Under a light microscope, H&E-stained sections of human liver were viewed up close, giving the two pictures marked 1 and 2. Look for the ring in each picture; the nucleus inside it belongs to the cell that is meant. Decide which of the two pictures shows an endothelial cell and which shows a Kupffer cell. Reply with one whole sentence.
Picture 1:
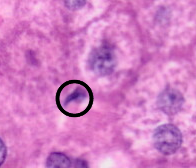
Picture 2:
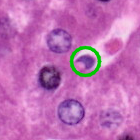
Picture 2 shows a Kupffer cell, while picture 1 shows an endothelial cell.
